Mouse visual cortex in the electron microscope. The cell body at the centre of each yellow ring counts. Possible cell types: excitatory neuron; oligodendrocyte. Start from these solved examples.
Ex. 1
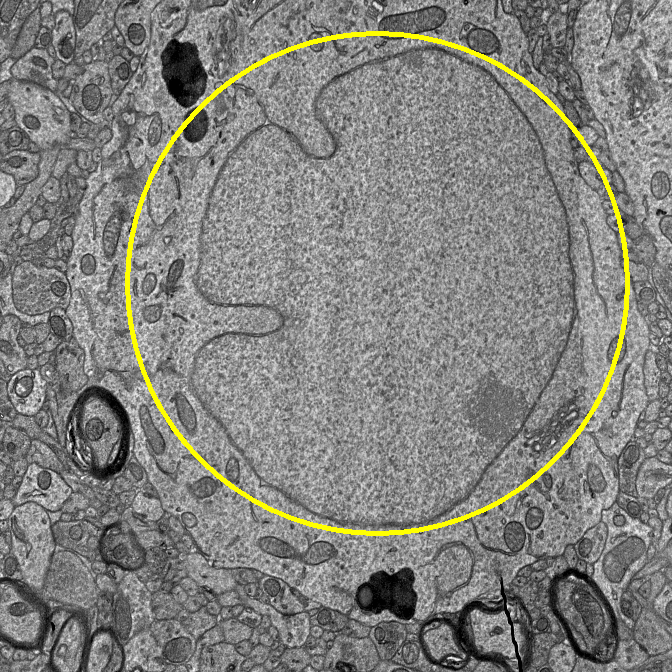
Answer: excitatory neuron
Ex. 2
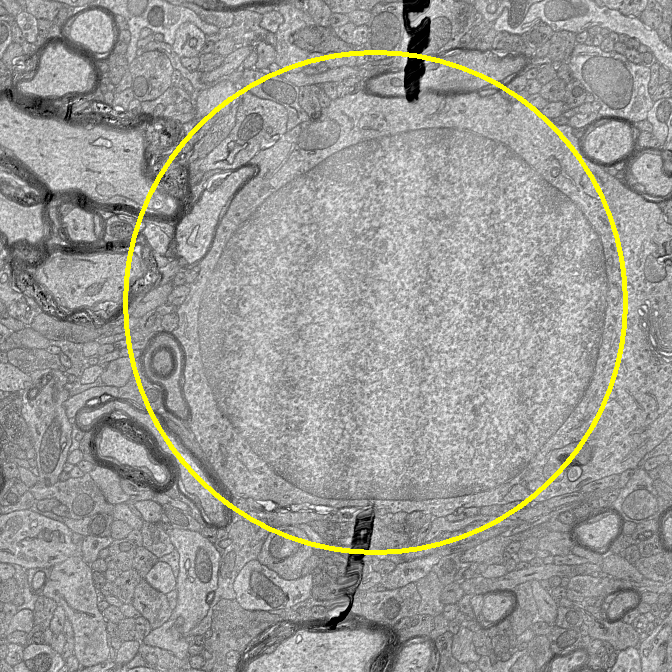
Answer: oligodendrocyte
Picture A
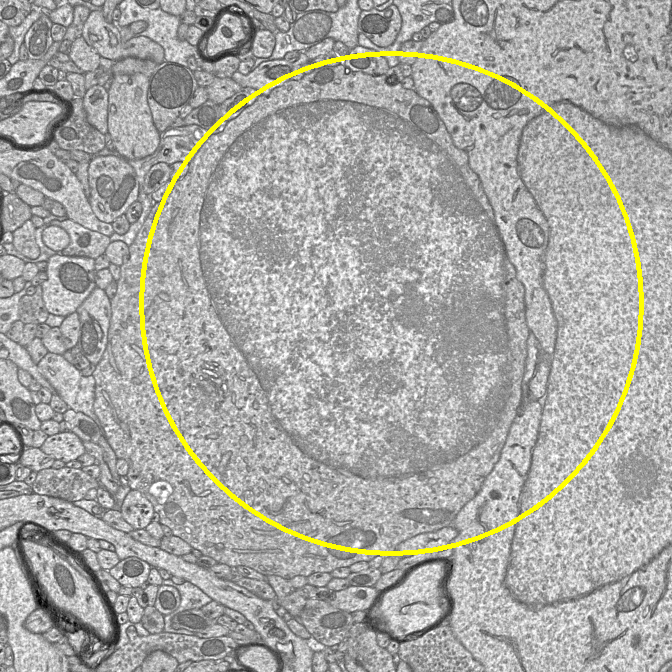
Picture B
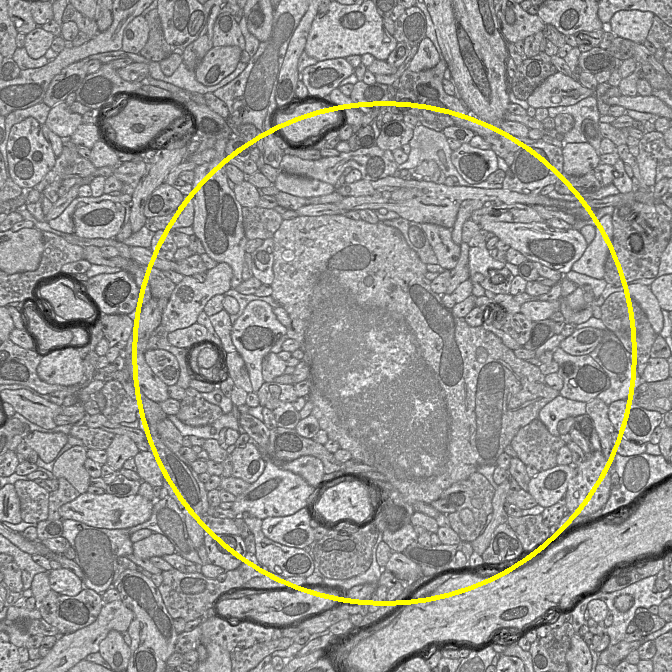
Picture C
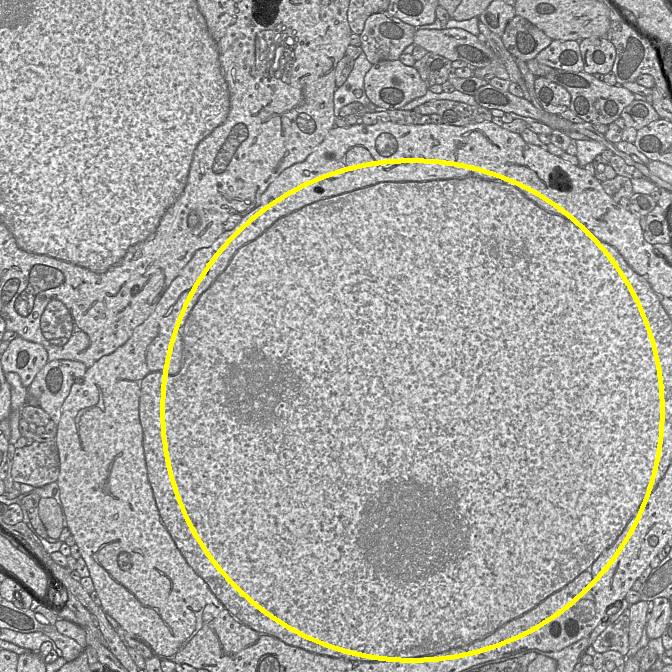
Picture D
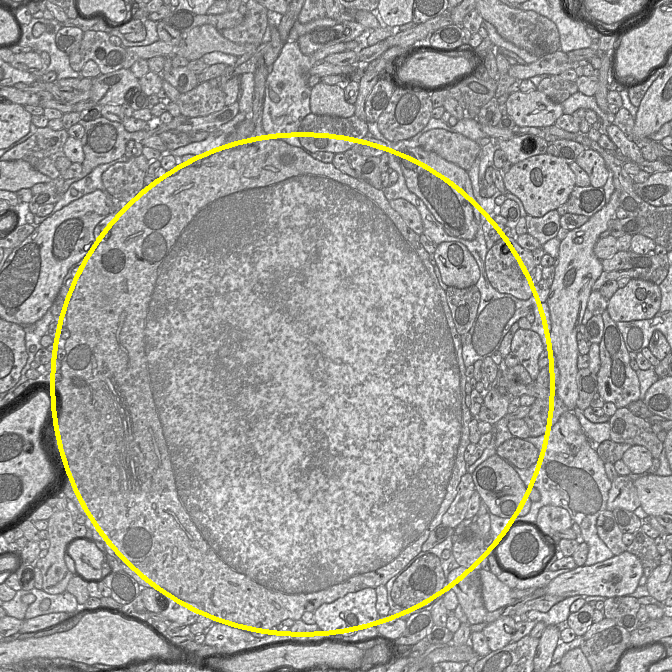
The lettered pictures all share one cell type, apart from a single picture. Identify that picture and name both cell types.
Odd one out: C (excitatory neuron). The rest: oligodendrocyte.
